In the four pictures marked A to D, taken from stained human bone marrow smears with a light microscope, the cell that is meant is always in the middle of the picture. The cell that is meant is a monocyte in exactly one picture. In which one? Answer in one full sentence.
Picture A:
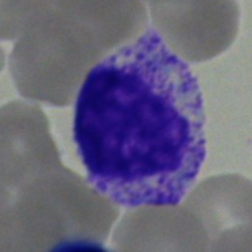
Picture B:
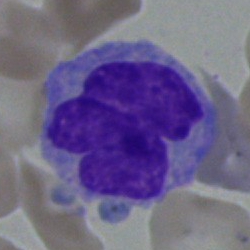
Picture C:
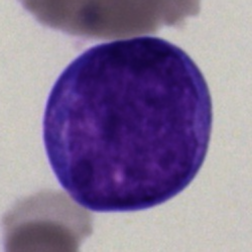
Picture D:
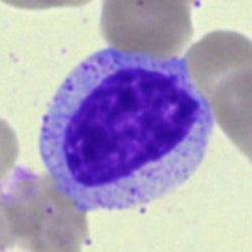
The cell in picture B is the monocyte.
